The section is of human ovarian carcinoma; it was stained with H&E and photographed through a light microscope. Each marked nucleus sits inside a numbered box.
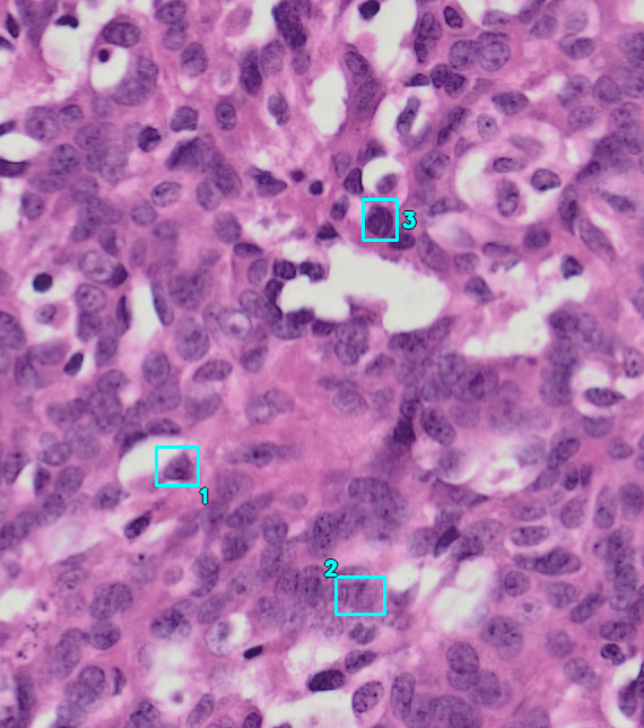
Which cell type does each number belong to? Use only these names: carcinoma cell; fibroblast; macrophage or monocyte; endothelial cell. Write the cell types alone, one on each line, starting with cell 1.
macrophage or monocyte
carcinoma cell
carcinoma cell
